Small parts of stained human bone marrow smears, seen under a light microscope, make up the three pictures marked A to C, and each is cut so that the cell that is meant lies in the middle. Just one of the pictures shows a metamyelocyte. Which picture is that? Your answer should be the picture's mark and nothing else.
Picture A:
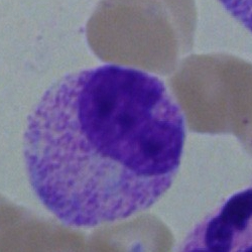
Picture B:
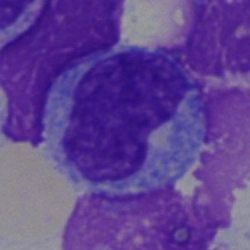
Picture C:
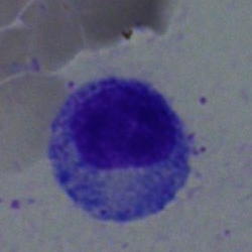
A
